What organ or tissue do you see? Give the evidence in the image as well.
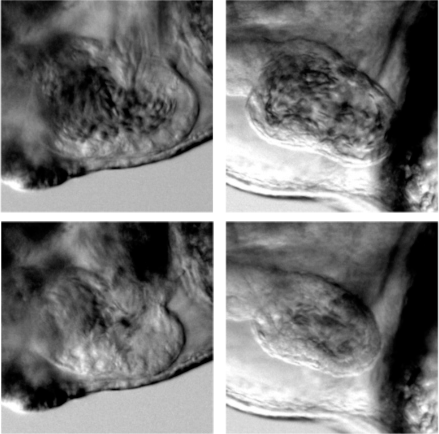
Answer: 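Hearts. The chamber is smaller in the lower frames than in the upper ones, as in contraction.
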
